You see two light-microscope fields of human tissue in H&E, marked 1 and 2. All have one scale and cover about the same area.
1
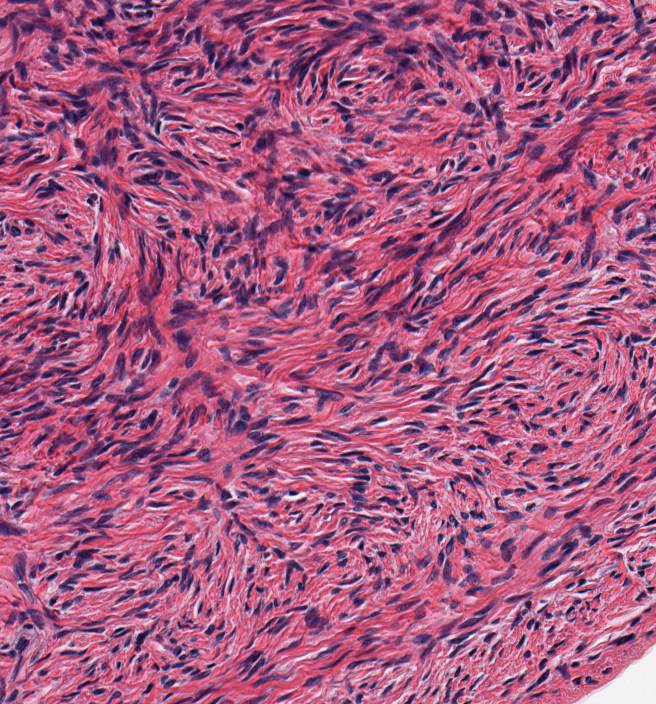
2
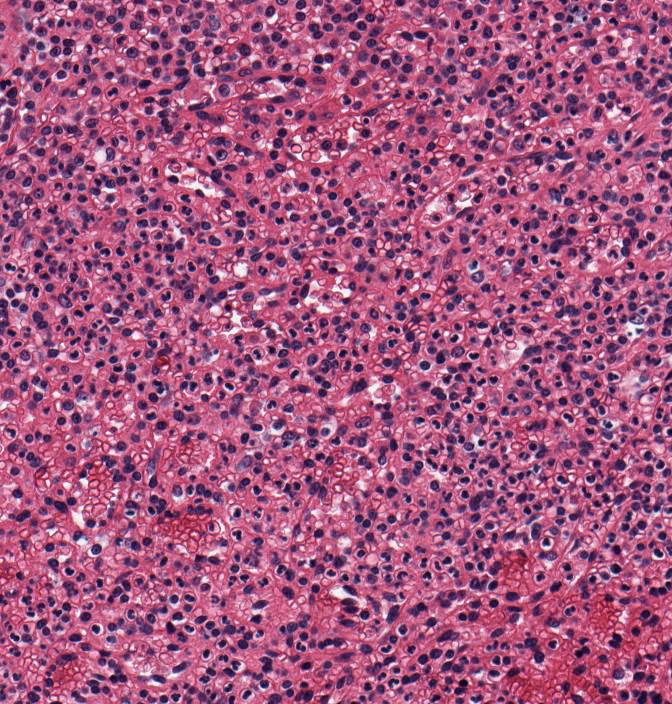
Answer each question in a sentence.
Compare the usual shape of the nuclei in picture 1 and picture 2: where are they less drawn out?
It is picture 2 whose nuclei are the rounder.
